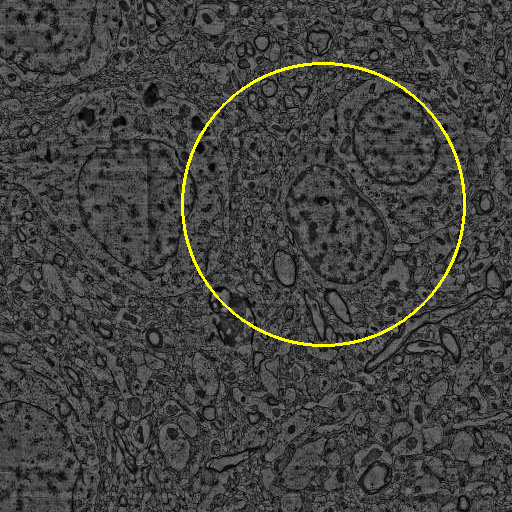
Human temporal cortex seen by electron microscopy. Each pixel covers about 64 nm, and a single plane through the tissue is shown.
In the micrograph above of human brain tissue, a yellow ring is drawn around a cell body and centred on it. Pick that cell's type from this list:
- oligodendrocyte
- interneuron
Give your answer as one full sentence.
Going by the list, an oligodendrocyte is the cell on which the yellow ring is centred.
